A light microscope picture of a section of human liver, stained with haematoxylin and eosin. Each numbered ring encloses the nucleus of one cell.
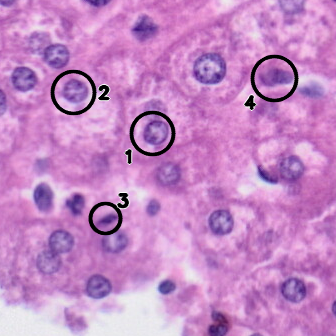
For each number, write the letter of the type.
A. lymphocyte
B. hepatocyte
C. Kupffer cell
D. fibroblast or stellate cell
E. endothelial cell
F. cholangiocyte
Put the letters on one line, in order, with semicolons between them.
B; B; D; C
